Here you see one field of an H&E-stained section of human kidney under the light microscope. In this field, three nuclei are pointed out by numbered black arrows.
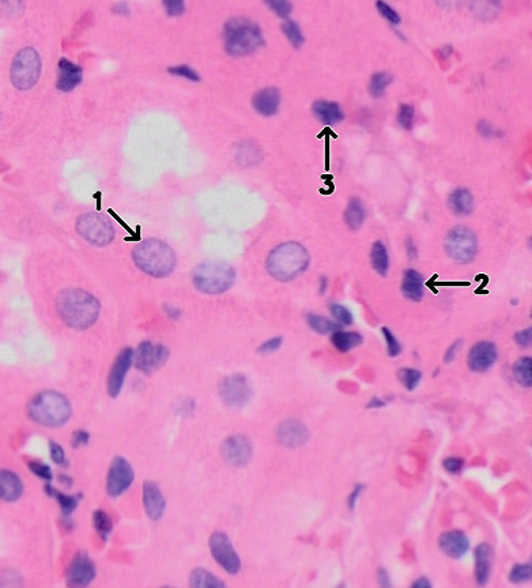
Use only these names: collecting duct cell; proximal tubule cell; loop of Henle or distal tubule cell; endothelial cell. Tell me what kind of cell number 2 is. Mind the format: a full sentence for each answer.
The cell given label 2 is a loop of Henle or distal tubule cell.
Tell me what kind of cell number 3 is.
Nucleus 3 in this section belongs to a loop of Henle or distal tubule cell.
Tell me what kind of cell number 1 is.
The numeral 1 marks a proximal tubule cell in this section.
